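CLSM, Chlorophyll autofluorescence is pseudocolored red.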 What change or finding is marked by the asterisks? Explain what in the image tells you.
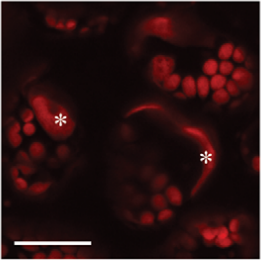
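Enlarged chloroplasts. The marked red bodies are several times larger than the neighbouring red bodies. The marked bodies are irregular and elongated, one curved along the cell wall.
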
